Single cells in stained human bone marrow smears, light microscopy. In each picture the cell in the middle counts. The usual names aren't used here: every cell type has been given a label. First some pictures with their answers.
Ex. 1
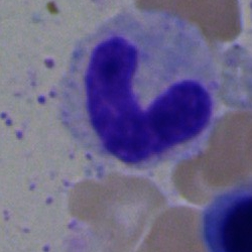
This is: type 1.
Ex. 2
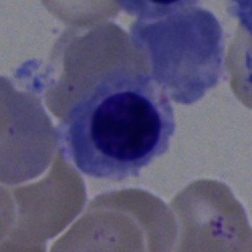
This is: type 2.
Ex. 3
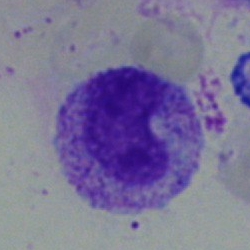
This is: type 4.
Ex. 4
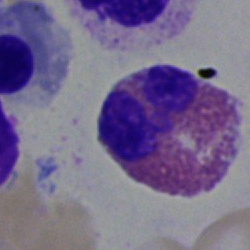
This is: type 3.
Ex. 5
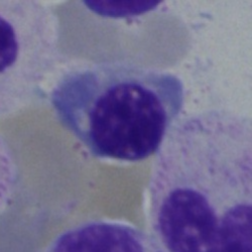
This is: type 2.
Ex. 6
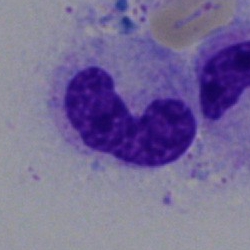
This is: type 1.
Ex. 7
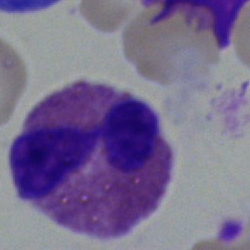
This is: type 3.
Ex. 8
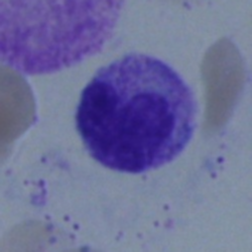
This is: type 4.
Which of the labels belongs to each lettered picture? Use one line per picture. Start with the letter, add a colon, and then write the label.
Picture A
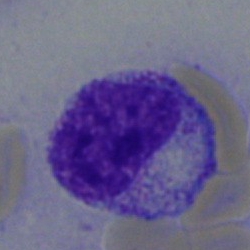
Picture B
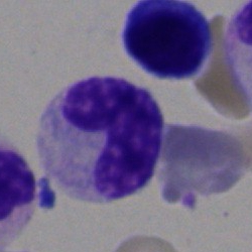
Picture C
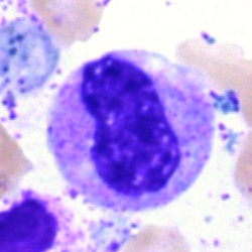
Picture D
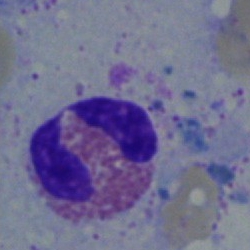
A: type 4.
B: type 1.
C: type 4.
D: type 3.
